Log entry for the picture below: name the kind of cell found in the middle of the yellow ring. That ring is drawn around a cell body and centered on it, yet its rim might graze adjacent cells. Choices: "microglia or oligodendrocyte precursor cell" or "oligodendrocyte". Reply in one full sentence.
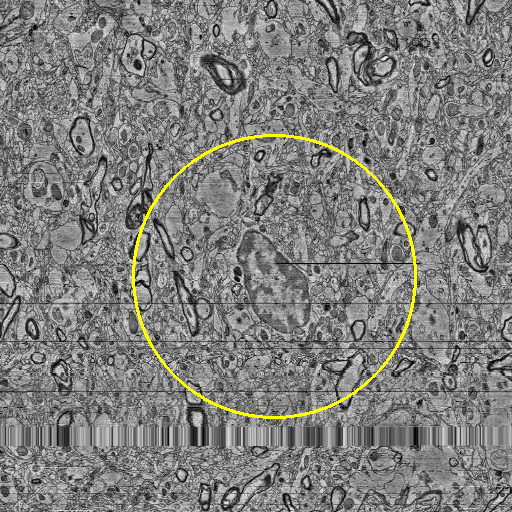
The cell in the middle of the yellow ring in this picture is a microglial cell or oligodendrocyte precursor cell.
